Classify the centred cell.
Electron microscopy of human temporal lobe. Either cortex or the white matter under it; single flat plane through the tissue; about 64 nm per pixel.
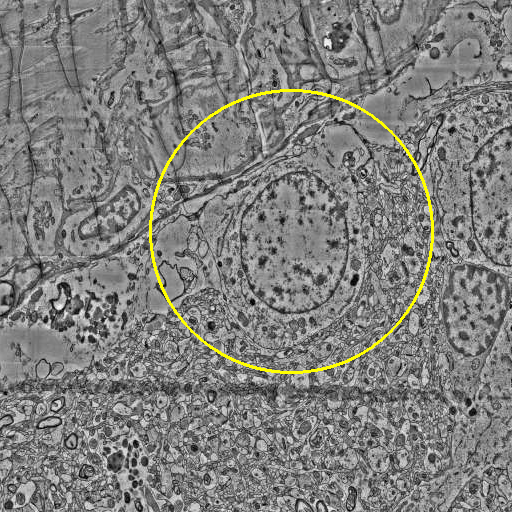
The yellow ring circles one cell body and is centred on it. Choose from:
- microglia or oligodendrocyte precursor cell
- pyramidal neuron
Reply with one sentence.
The ring is centred on a pyramidal neuron.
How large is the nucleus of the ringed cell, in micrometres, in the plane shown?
In this plane, roughly 9 by 7 micrometres.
